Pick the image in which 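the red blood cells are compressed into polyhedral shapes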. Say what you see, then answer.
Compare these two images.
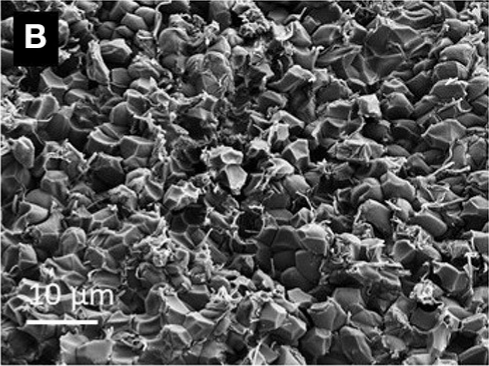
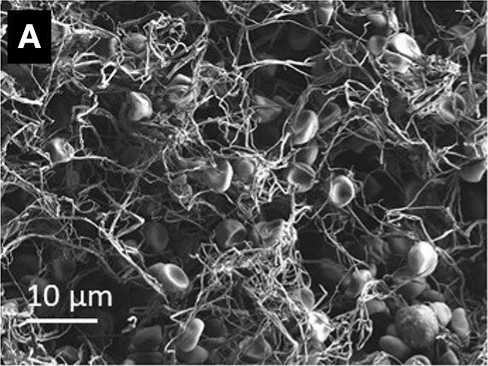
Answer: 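The first image. First image: tightly packed cells with flat faces and angular edges. Second image: rounded disc-shaped cells loosely spaced among fibres.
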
